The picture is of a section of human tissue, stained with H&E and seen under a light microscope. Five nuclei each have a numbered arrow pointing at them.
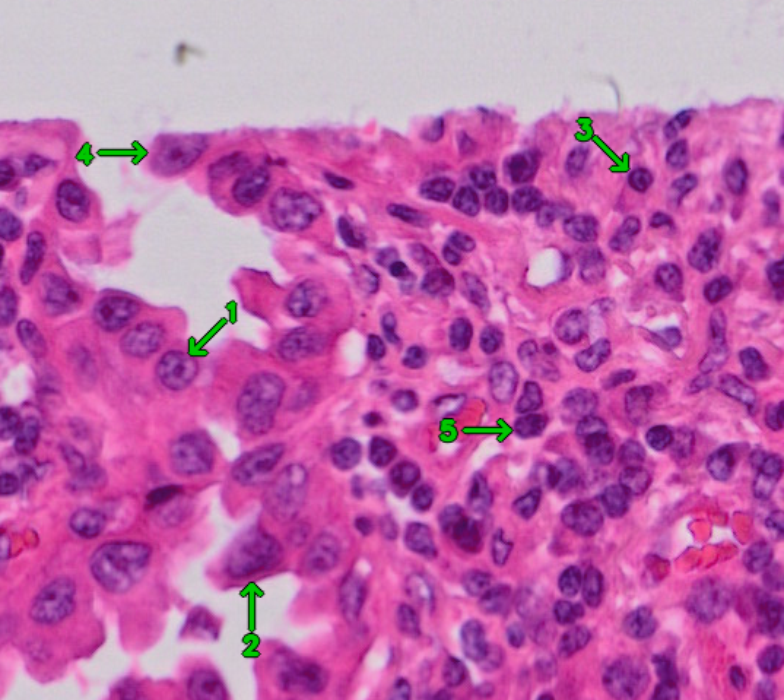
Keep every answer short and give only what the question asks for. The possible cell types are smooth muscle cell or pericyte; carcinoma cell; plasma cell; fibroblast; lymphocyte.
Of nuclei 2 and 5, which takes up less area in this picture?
5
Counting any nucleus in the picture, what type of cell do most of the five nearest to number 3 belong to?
lymphocyte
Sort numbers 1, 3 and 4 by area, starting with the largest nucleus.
4, 1, 3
